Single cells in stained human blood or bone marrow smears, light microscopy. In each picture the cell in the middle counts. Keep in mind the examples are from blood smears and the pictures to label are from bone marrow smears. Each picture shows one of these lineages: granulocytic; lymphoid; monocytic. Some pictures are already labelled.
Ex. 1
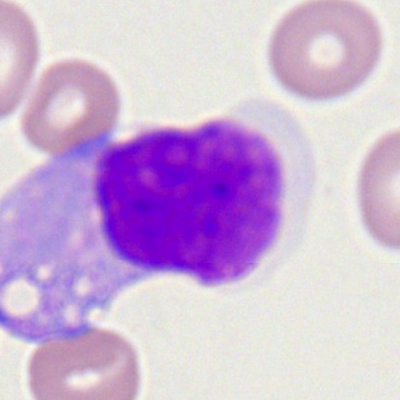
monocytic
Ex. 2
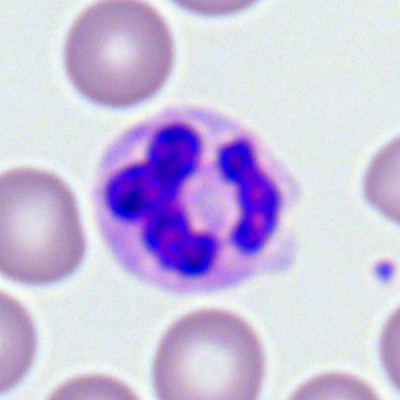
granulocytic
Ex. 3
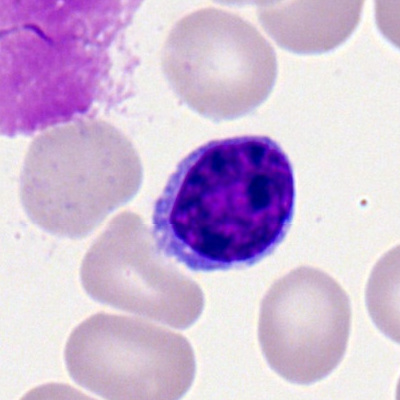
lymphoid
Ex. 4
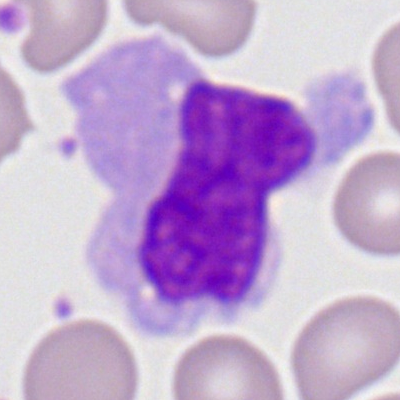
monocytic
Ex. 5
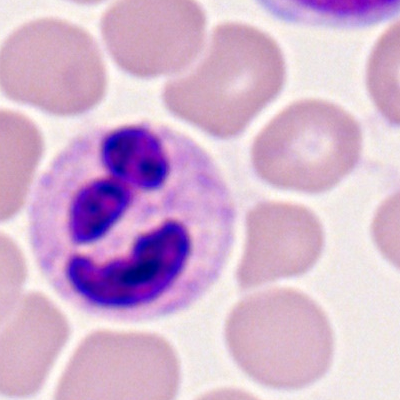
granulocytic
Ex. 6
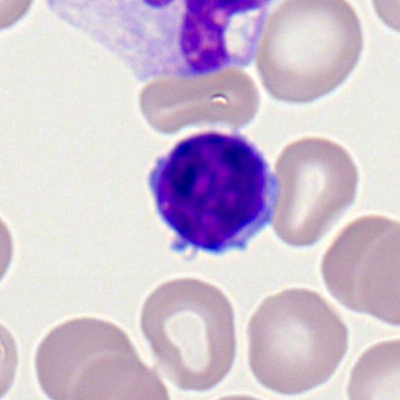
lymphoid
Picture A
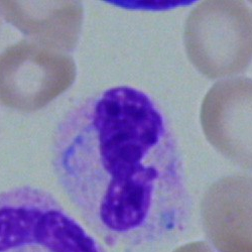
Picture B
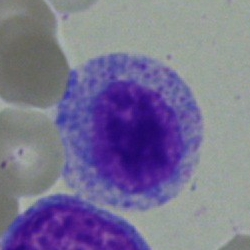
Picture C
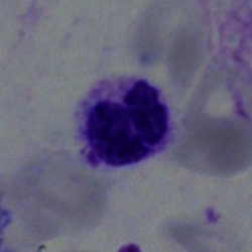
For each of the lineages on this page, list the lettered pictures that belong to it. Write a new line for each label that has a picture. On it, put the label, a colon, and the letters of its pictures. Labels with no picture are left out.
granulocytic: A, B, C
